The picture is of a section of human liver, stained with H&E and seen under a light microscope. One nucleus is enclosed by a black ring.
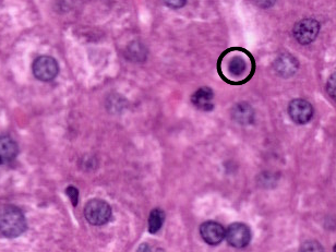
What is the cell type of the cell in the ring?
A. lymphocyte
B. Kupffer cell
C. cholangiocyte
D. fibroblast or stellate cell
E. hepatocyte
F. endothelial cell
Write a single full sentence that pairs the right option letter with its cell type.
Option A gives the correct identity of the cell in the ring, which is a lymphocyte.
